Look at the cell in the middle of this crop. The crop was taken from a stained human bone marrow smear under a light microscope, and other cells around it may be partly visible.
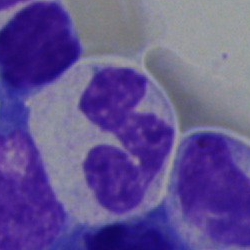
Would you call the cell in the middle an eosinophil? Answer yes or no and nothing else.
no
